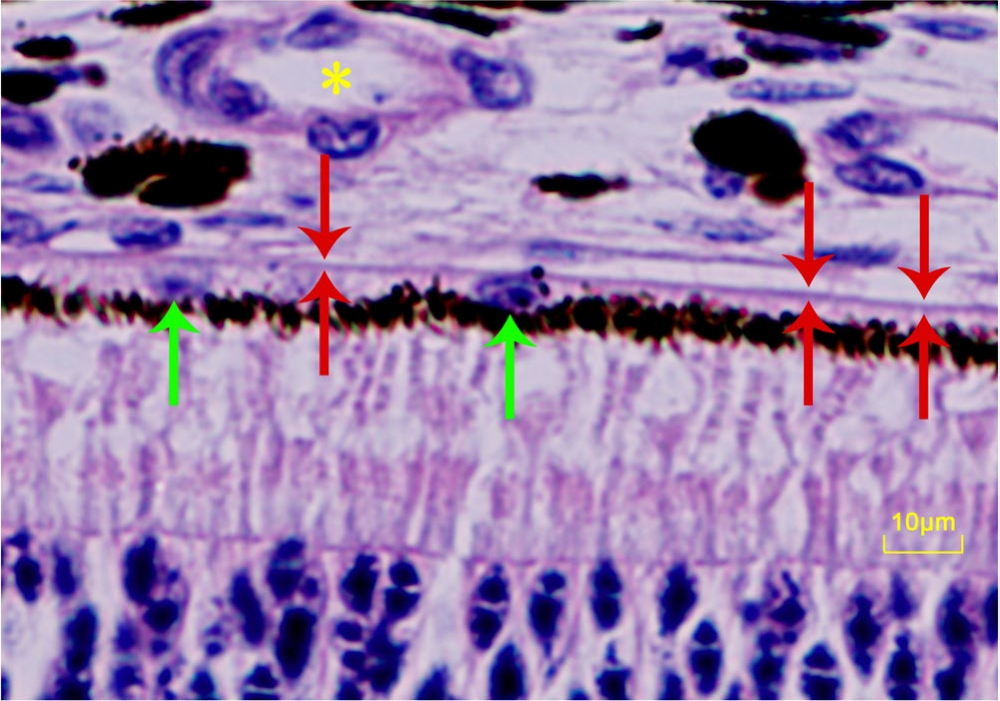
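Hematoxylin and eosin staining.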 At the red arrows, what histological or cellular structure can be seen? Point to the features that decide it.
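Paired arrows bracket a thin, pale pink band. The band runs just above the dark pigmented cell layer. The band separates that layer from the overlying loose tissue with pigment cells and vessels.
Answer: Bruch’s membrane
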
